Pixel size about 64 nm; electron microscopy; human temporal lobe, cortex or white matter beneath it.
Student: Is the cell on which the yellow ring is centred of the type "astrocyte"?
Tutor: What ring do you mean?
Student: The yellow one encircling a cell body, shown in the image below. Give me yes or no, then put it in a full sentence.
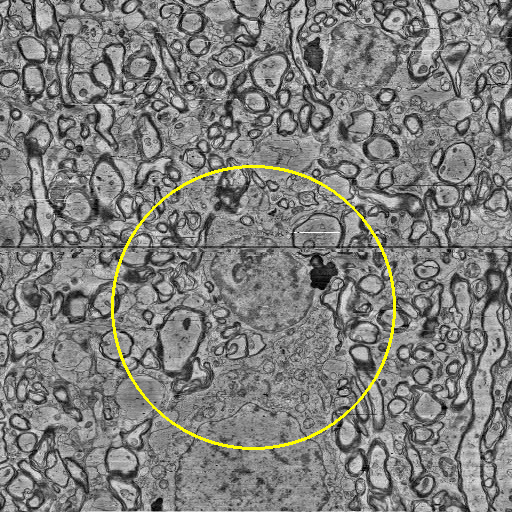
No, the cell on which the yellow ring in the image is centred has a different type.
